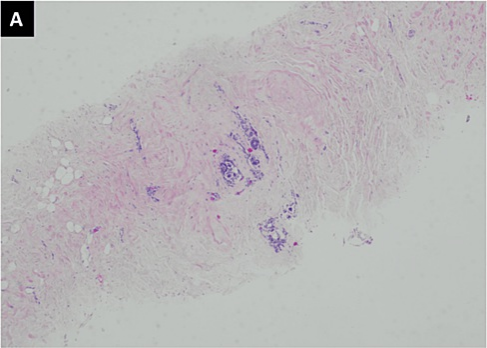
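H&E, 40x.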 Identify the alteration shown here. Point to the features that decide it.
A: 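Most of the tissue is pale pink, dense and glassy with few nuclei. Only a few small clusters of epithelium and cells lie within this stroma. A few fat cells appear at the left edge.
Conclusion: hyalinized interlobular stroma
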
